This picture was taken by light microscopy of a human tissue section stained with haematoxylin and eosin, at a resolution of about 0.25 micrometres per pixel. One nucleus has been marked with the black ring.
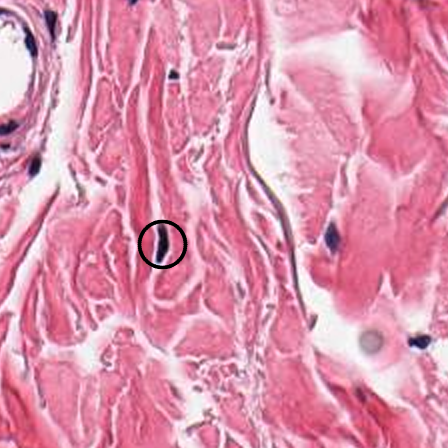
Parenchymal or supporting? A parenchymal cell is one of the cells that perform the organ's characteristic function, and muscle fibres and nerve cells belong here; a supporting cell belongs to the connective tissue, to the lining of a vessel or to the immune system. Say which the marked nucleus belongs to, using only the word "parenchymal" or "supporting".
supporting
